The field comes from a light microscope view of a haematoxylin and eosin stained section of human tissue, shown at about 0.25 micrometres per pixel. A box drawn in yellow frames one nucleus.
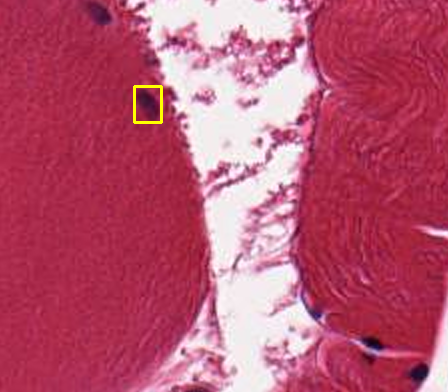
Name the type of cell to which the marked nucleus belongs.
skeletal muscle fibre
